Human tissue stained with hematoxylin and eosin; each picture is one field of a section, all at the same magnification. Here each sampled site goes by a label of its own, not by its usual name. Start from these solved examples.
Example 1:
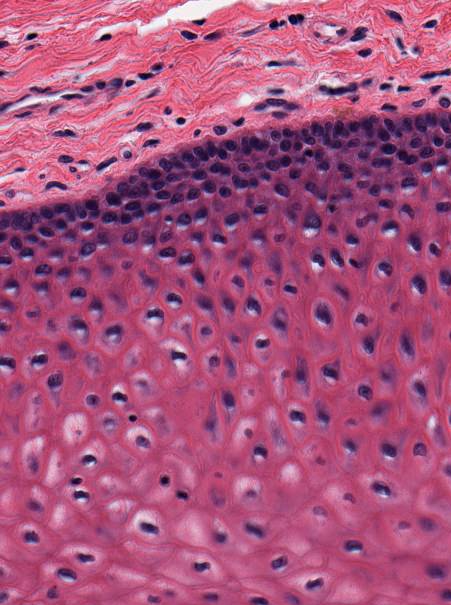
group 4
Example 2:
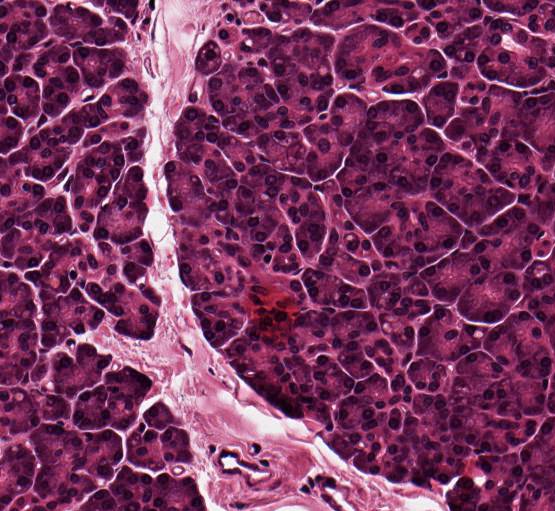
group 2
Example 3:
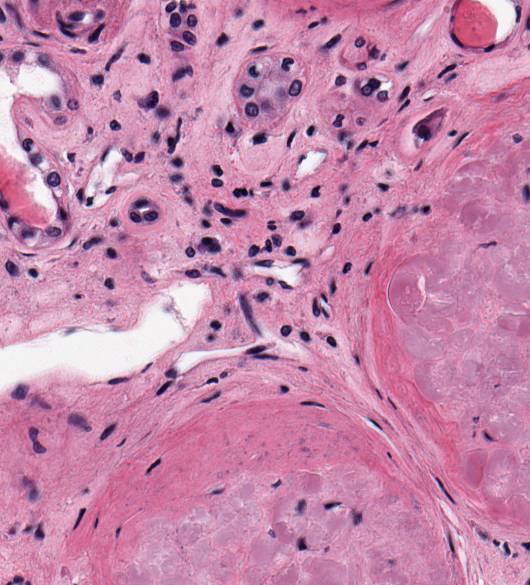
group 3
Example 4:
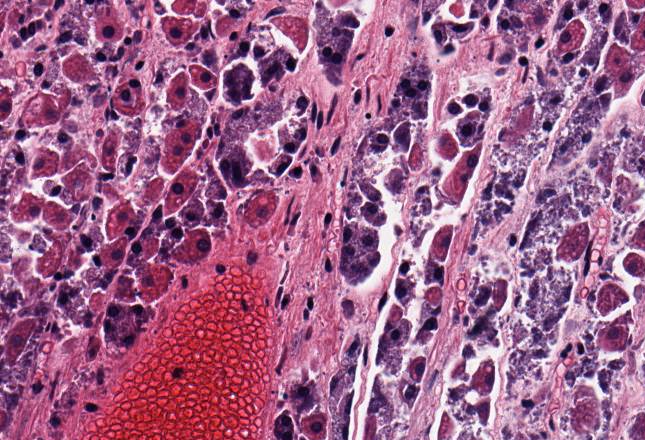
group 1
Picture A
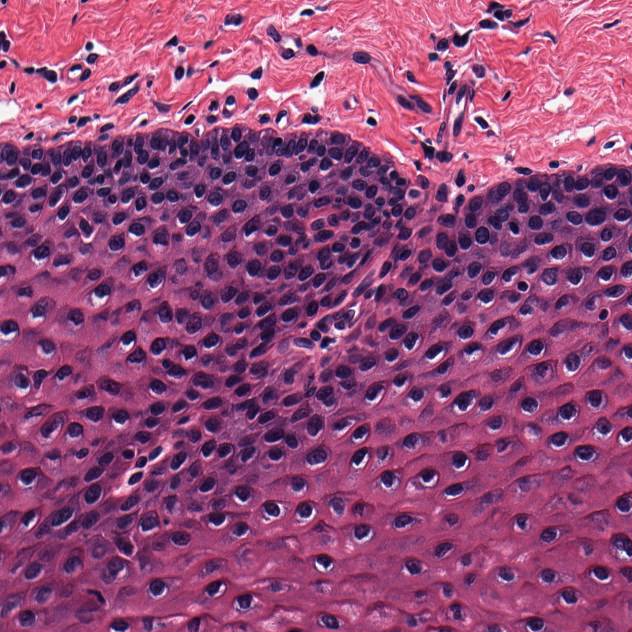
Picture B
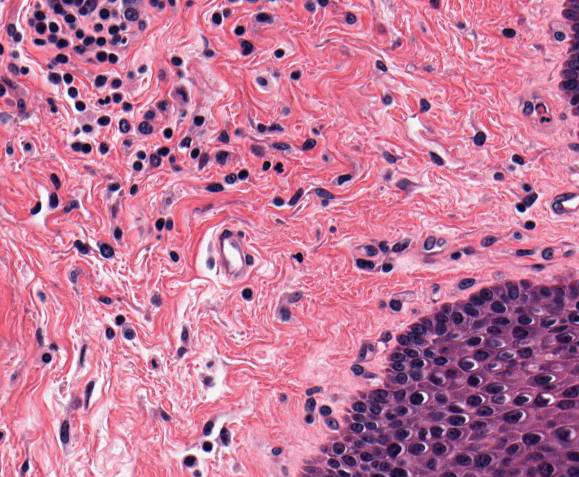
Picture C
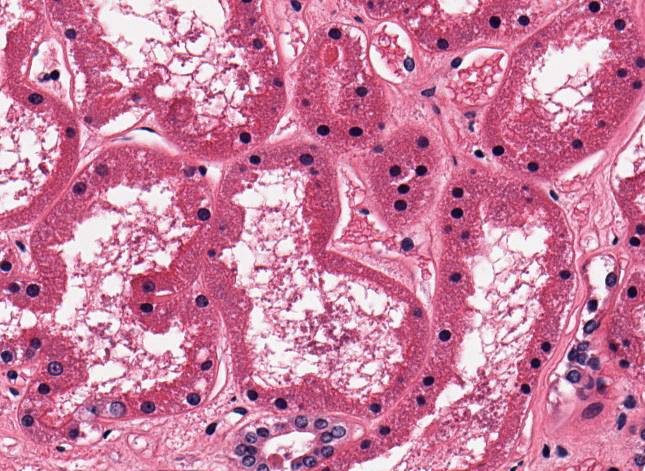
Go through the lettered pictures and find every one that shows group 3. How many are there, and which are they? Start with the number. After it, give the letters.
1, namely C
